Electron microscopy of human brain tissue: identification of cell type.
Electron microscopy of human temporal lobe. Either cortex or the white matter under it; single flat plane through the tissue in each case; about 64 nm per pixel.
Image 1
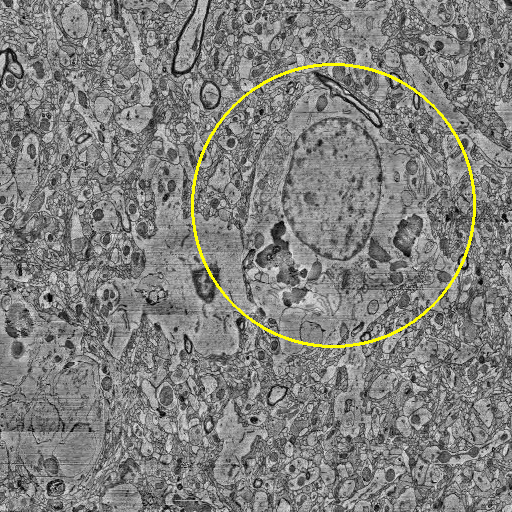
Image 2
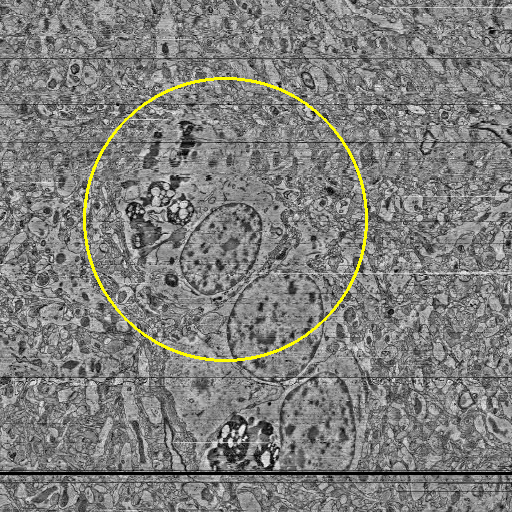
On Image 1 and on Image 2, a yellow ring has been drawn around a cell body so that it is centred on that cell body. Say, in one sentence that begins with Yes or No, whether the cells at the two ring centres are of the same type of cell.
Yes, both cells are the same type of cell.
